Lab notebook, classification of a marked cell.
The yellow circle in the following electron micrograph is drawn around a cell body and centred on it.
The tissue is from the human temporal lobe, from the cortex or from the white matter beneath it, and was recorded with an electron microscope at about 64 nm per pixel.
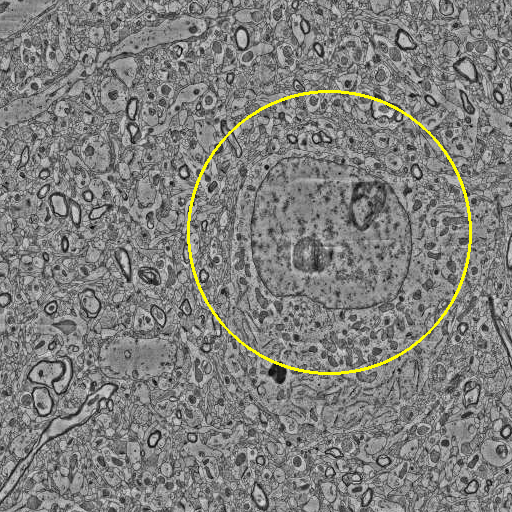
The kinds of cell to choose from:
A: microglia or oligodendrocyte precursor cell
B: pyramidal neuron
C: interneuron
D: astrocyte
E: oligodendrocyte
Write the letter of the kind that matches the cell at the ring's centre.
C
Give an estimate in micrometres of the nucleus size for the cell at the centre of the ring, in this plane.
Approximately 11 micrometres across, in this plane.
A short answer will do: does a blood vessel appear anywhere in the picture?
No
